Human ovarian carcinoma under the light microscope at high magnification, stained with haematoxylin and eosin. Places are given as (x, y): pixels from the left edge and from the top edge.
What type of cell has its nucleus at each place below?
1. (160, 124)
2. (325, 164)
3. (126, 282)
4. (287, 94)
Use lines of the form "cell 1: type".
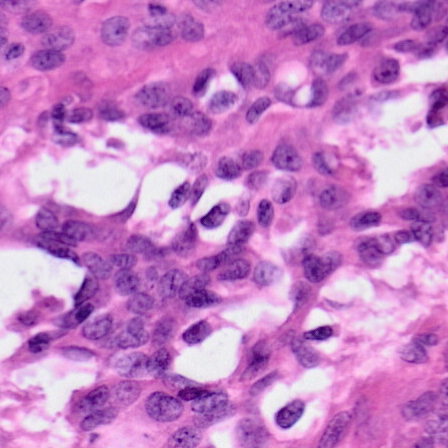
cell 1: carcinoma cell
cell 2: endothelial cell
cell 3: carcinoma cell
cell 4: carcinoma cell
